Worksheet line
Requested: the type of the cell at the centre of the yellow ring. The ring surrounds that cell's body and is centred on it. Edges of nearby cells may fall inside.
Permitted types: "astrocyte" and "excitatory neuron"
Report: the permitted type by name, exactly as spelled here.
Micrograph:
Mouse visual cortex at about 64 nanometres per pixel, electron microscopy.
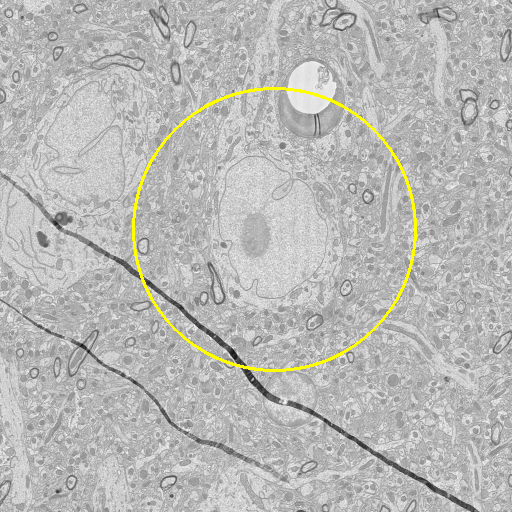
excitatory neuron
